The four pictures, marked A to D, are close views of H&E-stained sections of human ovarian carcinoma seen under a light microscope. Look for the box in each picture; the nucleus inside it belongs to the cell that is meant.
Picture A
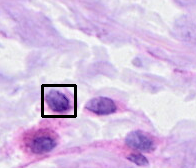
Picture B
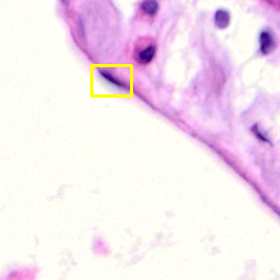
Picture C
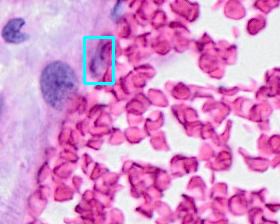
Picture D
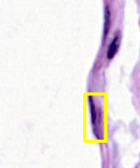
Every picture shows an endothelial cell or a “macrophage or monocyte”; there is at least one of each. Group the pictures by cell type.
A: macrophage or monocyte
B: endothelial cell
C: endothelial cell
D: endothelial cell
